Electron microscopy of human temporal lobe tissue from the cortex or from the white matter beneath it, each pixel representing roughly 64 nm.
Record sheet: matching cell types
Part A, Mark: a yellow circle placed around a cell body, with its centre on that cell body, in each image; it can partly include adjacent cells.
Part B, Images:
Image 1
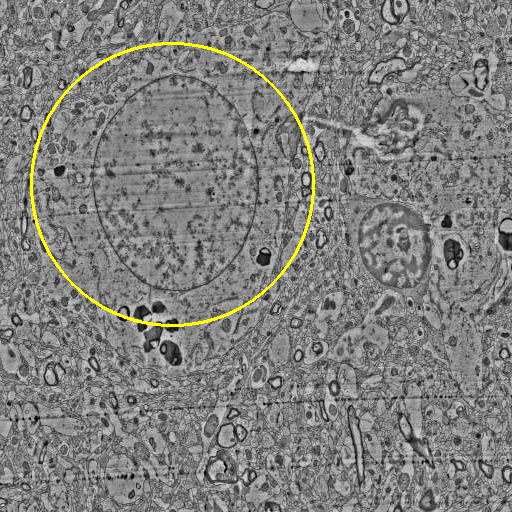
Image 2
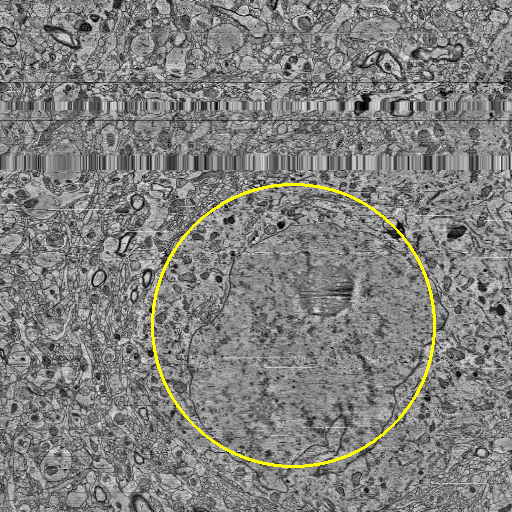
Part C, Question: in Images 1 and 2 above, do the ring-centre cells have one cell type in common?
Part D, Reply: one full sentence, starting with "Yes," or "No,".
Yes, the ring-centre cells of Image 1 and Image 2 are both of a single cell type.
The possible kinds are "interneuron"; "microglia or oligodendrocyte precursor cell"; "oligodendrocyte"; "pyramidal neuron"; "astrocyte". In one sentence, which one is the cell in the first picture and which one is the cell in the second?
Both the first and the second picture show a pyramidal neuron in the ring.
